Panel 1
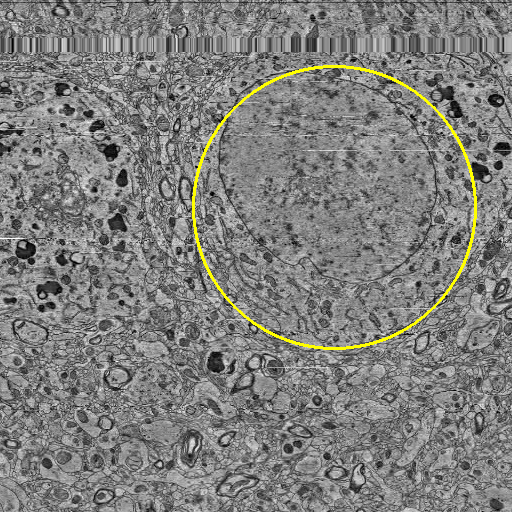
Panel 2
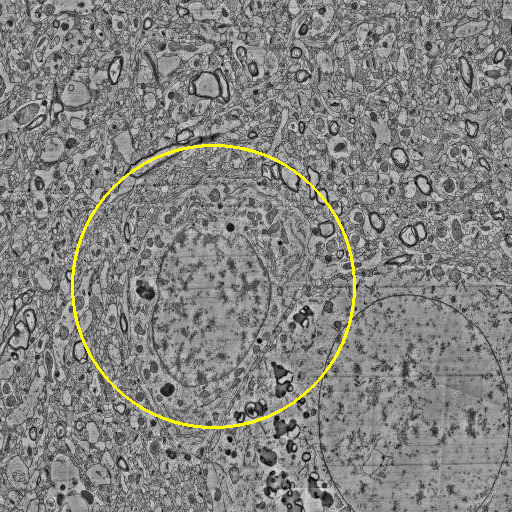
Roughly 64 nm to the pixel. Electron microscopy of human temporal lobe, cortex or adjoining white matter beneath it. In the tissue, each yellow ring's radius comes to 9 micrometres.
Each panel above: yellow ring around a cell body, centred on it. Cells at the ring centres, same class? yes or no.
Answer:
no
